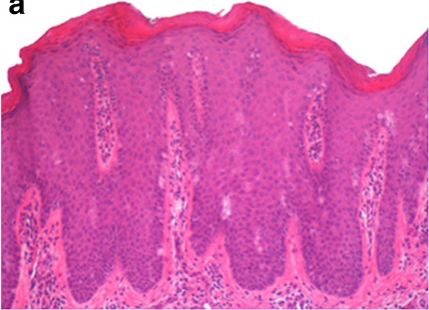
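Skin with a thickened epidermis showing the pattern of psoriasis. The epidermis sends long, regular, evenly spaced rete ridges deep into the dermis, all of similar length, with bulbous lower ends. Between them narrow dermal papillae rise nearly to the surface, leaving only a thin layer of epidermis above their tips. Keratinocytes are packed with purple nuclei and pink cytoplasm. The surface is capped by a compact, bright pink layer, and no clear granular band lies beneath it. The papillae and upper dermis hold scattered small dark nuclei of inflammatory cells around small vessels.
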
